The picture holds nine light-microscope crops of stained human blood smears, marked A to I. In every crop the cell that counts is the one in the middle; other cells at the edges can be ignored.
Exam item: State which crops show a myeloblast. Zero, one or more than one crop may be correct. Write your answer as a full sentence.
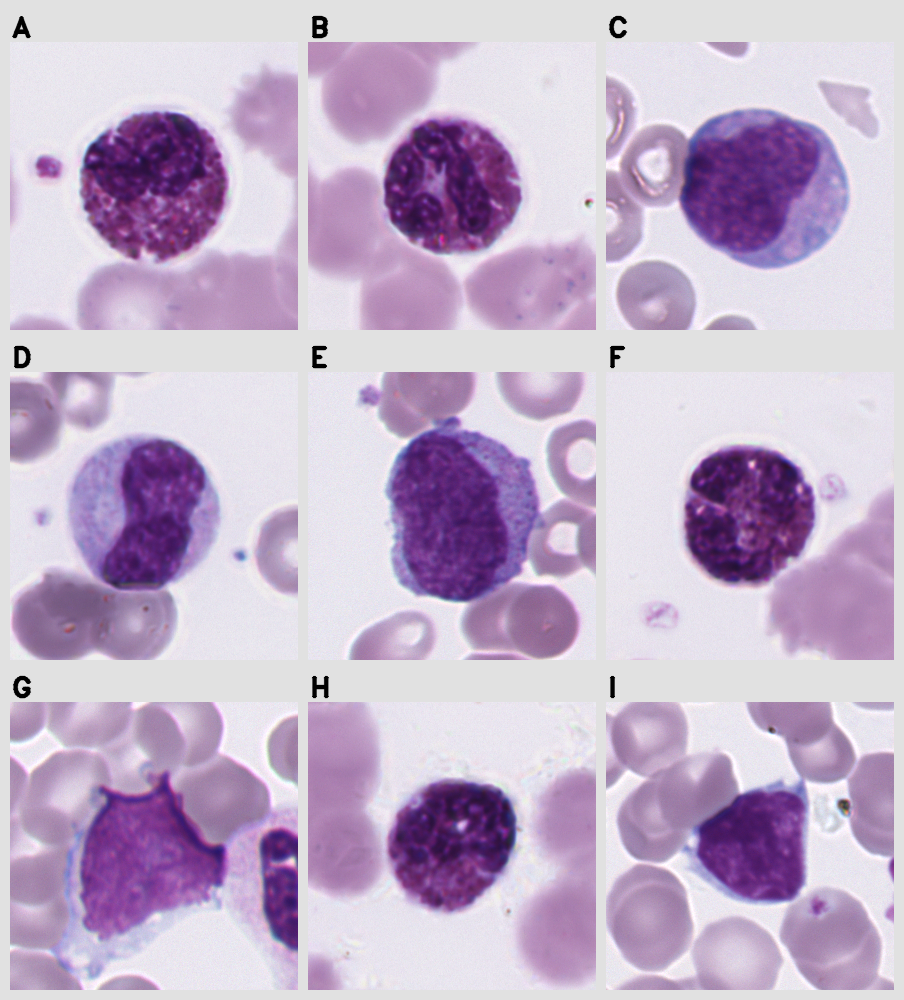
Among the central cells of the crops, none is a myeloblast.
